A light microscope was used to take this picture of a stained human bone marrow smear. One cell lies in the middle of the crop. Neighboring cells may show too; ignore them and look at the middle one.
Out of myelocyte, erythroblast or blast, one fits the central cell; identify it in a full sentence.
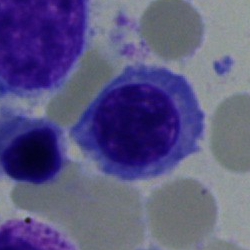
Seen at the centre of the crop is an erythroblast.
